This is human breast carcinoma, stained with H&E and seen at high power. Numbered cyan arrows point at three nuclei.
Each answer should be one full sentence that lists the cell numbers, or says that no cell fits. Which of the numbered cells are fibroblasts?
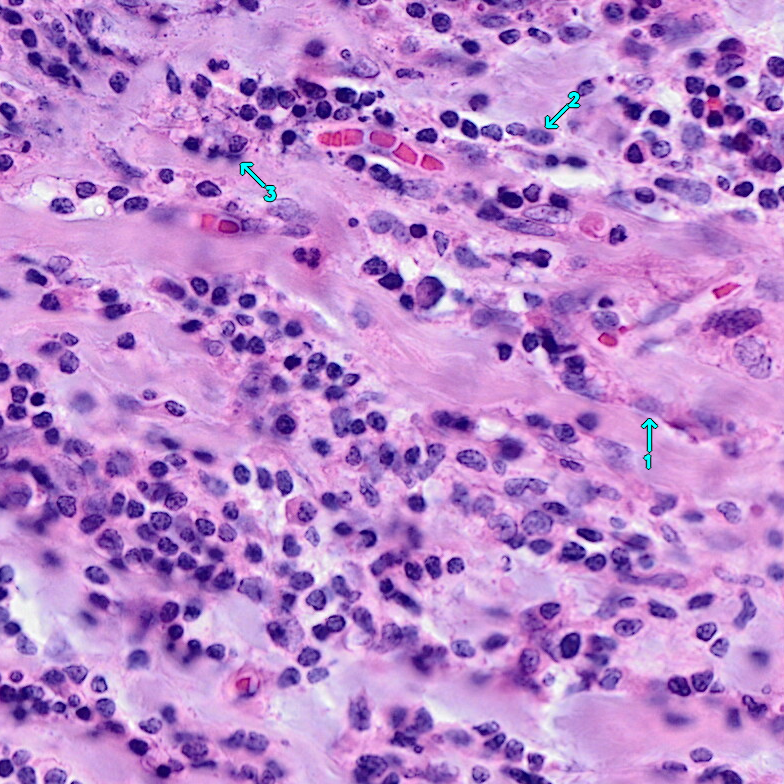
Cell 1 is the single numbered cell that is a fibroblast.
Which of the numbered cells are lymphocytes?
Cell 3 is a lymphocyte, whereas each of the other numbered cells is not.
